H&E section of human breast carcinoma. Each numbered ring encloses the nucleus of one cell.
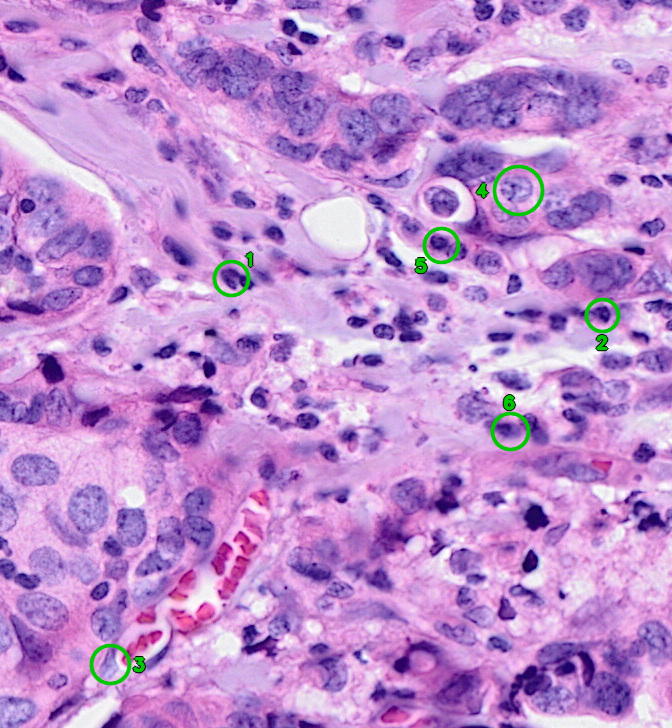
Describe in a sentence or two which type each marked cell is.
Cells 1, 2, 5 and 6 are lymphocytes. Cell 3 is an endothelial cell. Cell 4 is a carcinoma cell.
